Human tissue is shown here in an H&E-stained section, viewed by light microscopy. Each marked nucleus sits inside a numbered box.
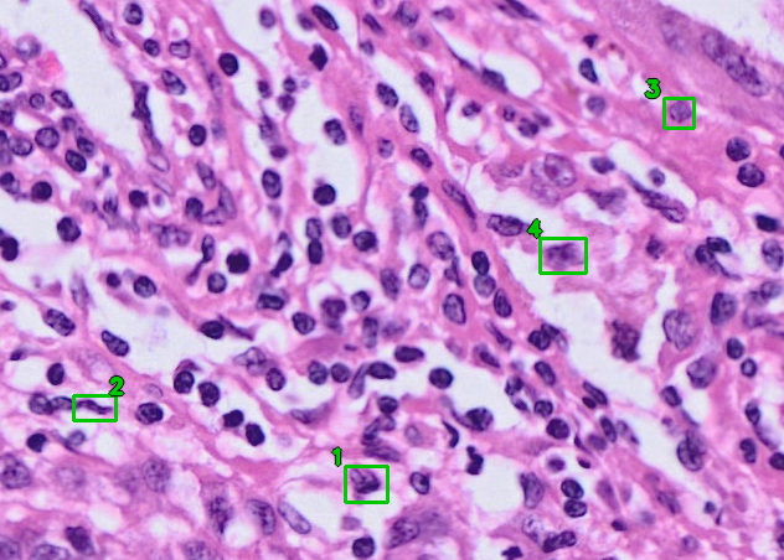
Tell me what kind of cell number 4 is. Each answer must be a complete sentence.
The cell marked with number 4 is a melanoma cell.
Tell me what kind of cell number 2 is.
The cell marked with number 2 is a fibroblast or myofibroblast.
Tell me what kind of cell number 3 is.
Looking at the numbered marks, cell 3 is a macrophage or monocyte.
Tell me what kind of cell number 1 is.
Cell 1 of the marked set is a macrophage or monocyte.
